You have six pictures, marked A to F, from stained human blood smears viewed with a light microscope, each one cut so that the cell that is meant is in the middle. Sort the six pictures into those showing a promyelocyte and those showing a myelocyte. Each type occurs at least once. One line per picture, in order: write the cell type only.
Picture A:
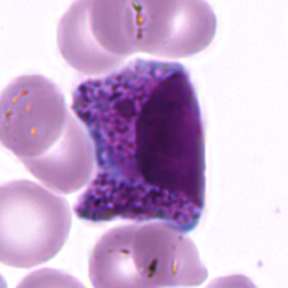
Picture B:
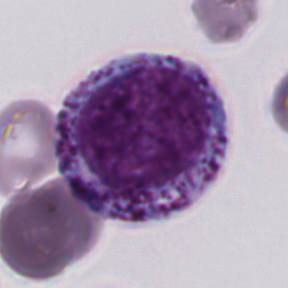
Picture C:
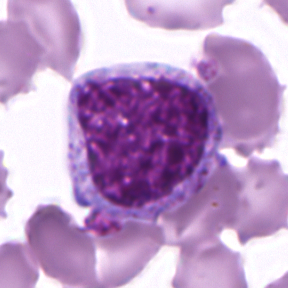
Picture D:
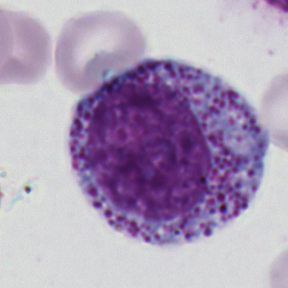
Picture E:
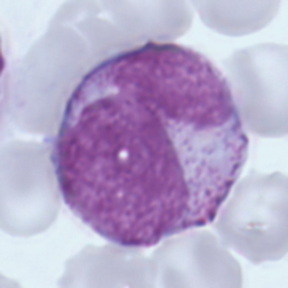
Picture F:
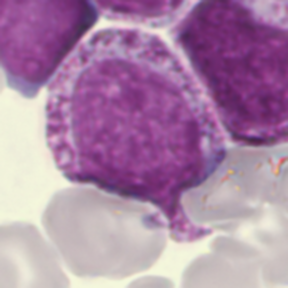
promyelocyte
promyelocyte
myelocyte
promyelocyte
promyelocyte
myelocyte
